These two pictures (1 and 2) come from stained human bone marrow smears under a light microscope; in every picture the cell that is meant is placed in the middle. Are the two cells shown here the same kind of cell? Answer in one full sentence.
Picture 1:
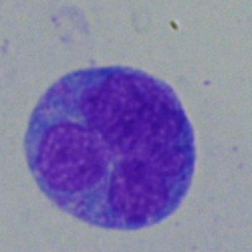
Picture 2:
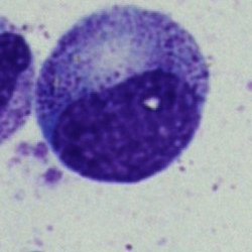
No, they differ: the cell is a monocyte in picture 1 and a metamyelocyte in picture 2.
